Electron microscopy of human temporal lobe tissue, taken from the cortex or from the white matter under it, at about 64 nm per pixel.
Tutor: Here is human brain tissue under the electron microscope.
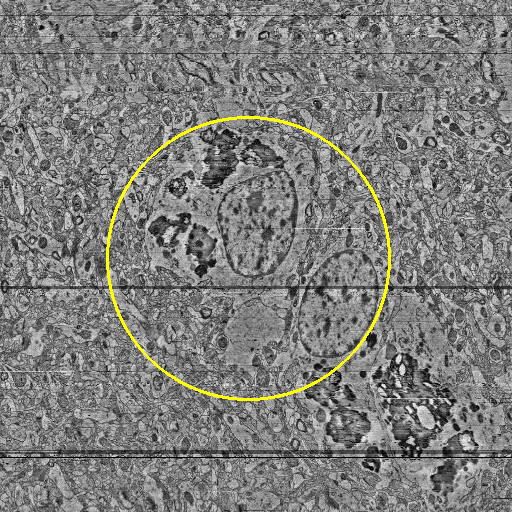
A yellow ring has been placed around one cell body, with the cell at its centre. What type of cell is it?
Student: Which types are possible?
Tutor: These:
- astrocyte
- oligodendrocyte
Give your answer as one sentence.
What the ring picks out here is an astrocyte.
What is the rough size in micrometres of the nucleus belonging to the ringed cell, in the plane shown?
In this plane, the nucleus is roughly 7 by 5 micrometres.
